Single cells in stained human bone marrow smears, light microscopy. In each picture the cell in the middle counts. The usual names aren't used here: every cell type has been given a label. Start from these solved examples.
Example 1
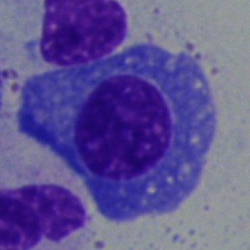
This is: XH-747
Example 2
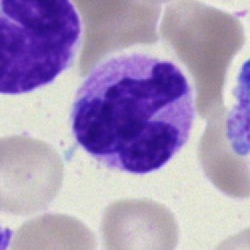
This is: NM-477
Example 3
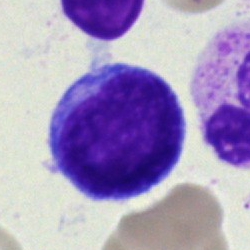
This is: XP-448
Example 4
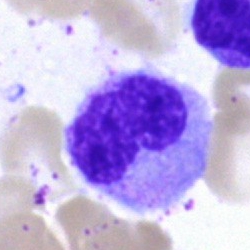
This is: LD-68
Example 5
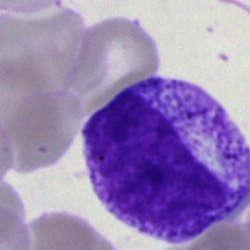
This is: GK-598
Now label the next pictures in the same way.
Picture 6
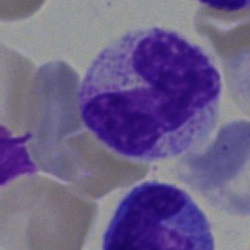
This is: NM-477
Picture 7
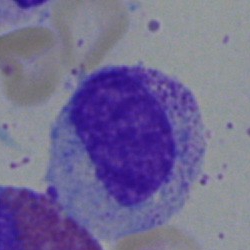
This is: LD-68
